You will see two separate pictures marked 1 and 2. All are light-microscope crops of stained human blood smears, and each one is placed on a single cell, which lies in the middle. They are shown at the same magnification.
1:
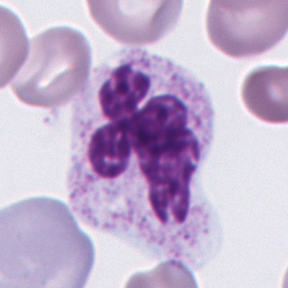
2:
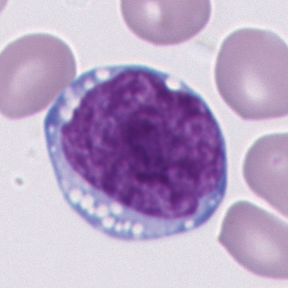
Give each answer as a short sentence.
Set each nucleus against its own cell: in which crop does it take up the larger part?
Of the two, the nucleus in crop 2 makes up the greater part of its cell.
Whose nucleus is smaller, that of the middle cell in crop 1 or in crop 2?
It is the nucleus in crop 1; the one in crop 2 has about 2 times its area.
